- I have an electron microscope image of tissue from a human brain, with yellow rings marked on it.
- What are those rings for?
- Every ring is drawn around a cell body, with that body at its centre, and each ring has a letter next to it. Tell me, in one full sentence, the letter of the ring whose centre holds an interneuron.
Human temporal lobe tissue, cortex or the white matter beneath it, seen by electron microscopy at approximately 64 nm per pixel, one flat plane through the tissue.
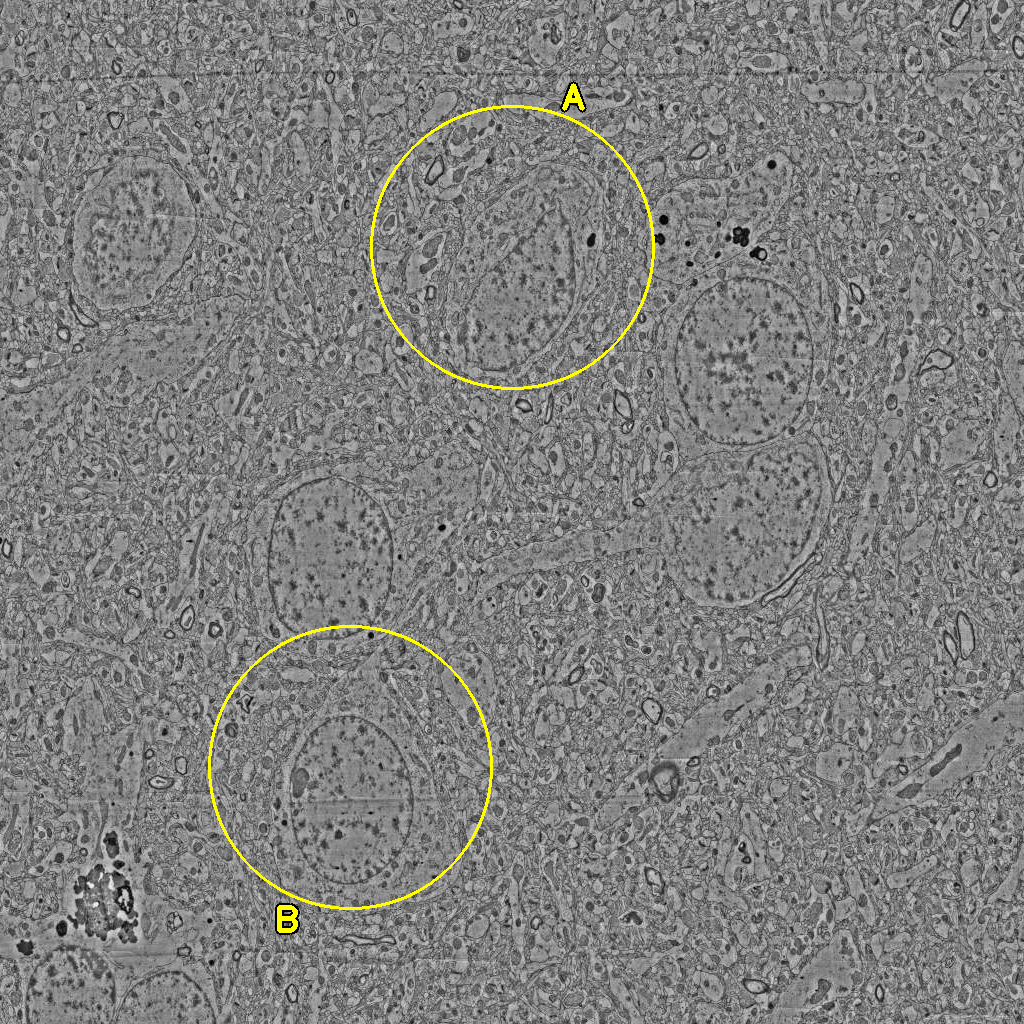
In the picture, the cell asked for sits at the centre of ring A.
